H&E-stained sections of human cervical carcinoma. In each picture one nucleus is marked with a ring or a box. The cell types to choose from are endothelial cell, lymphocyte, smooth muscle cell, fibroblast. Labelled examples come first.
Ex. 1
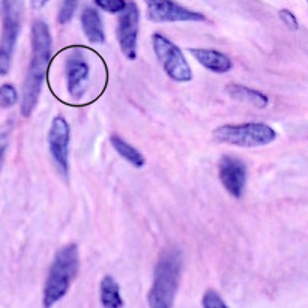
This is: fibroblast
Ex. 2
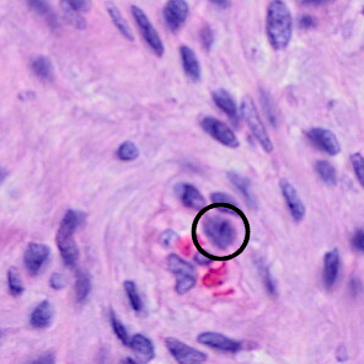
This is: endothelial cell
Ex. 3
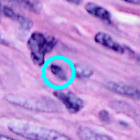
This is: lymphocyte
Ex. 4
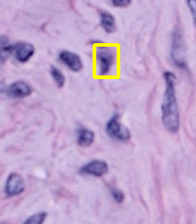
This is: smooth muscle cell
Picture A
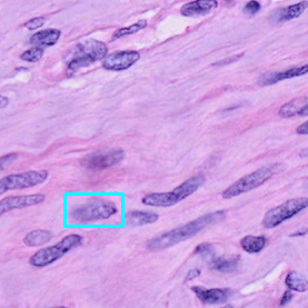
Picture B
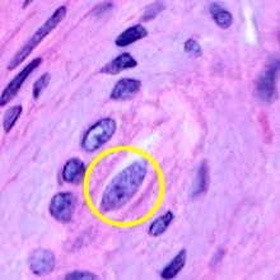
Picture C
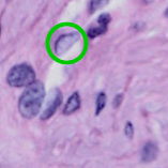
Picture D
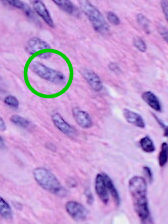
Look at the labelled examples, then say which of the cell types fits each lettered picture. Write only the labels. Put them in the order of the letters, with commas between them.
smooth muscle cell, endothelial cell, endothelial cell, smooth muscle cell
